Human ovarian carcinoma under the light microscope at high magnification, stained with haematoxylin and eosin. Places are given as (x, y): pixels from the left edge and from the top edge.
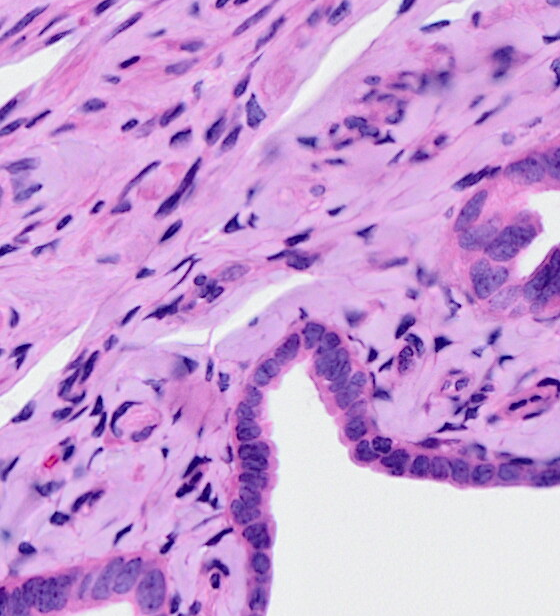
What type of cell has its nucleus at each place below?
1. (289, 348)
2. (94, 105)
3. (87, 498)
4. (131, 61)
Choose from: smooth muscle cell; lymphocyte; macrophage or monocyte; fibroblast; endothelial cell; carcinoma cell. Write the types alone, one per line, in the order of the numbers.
carcinoma cell
smooth muscle cell
endothelial cell
smooth muscle cell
